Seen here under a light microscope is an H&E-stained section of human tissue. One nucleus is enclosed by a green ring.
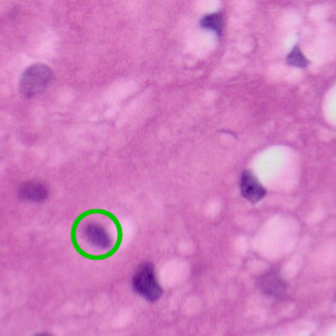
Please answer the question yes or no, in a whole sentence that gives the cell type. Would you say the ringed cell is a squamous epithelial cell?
Yes, the cell type of the ringed cell is that of a squamous epithelial cell.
